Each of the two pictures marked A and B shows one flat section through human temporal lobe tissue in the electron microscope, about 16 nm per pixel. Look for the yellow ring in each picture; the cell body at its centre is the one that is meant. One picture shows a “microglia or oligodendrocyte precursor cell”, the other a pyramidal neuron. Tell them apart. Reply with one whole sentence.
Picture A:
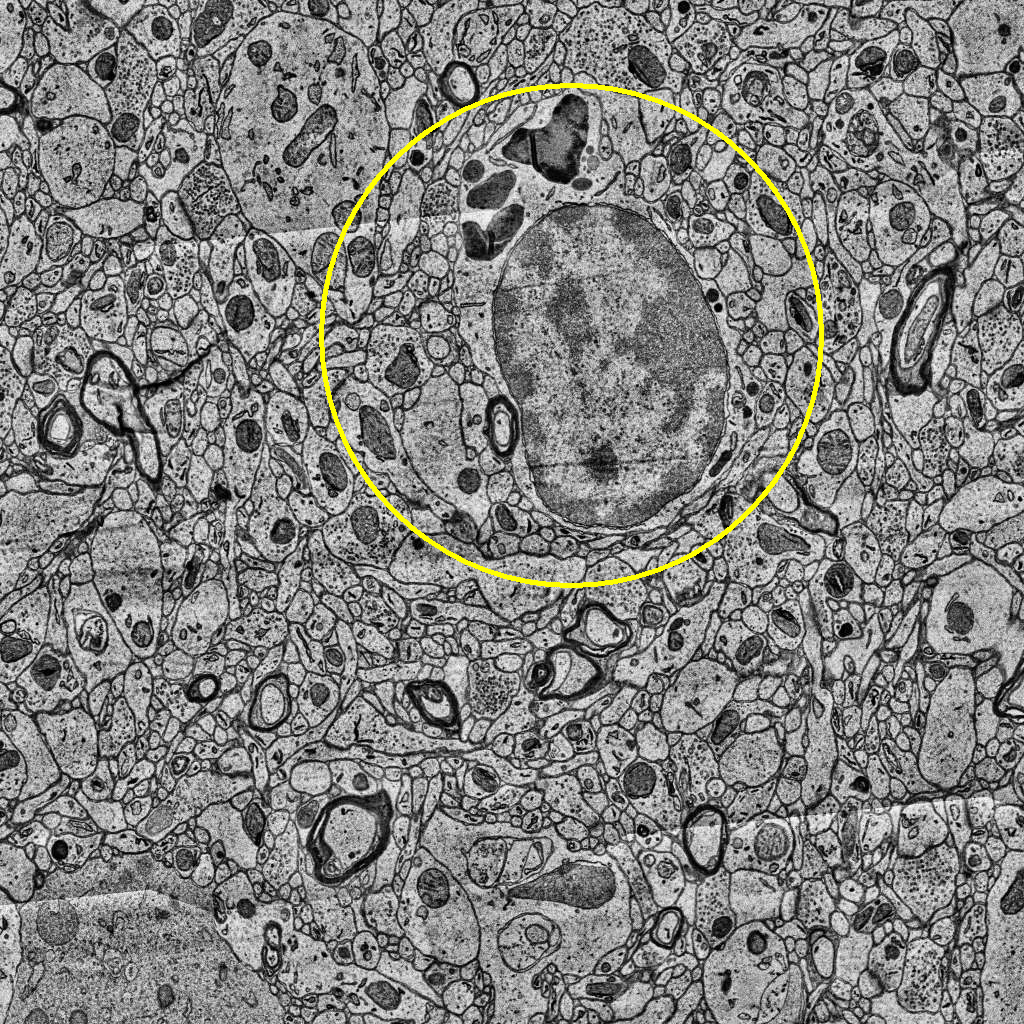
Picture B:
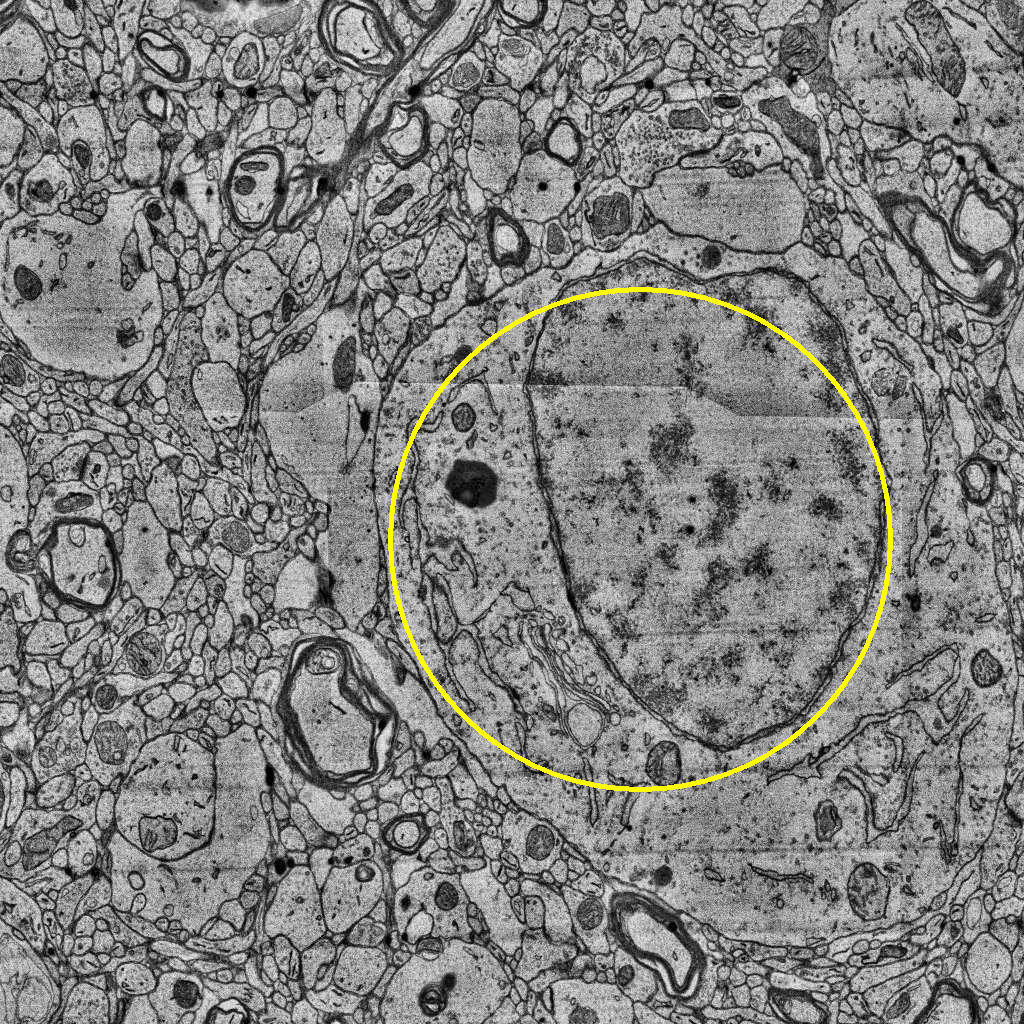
Picture A is of a “microglia or oligodendrocyte precursor cell”, and picture B is of a pyramidal neuron.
